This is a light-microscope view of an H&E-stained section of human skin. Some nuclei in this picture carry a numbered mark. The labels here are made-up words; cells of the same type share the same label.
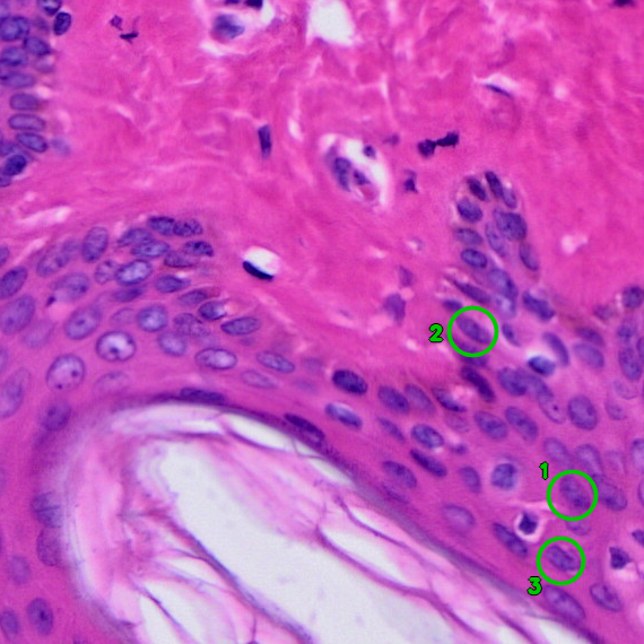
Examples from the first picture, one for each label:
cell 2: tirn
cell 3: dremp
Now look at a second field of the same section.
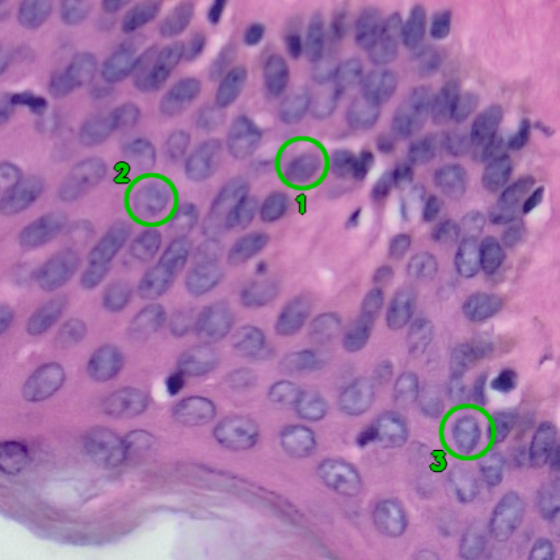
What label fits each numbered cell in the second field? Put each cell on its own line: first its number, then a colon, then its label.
1: tirn
2: dremp
3: dremp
